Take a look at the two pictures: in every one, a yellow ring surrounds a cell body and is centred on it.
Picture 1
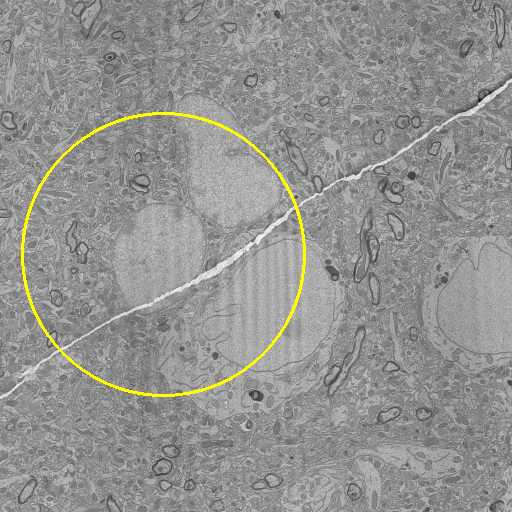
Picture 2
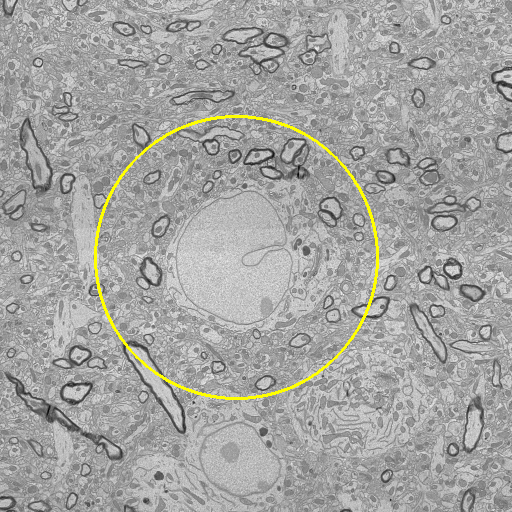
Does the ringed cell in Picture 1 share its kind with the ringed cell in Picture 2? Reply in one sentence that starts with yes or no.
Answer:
No, the two centred cells, one per picture, are of two kinds.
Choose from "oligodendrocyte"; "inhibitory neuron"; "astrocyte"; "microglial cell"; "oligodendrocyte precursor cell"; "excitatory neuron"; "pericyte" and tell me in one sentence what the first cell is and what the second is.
What the first ring is centred on is an astrocyte; what the second ring is centred on is an excitatory neuron.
